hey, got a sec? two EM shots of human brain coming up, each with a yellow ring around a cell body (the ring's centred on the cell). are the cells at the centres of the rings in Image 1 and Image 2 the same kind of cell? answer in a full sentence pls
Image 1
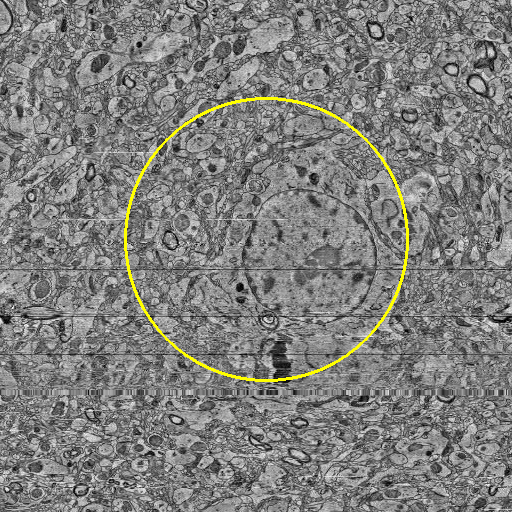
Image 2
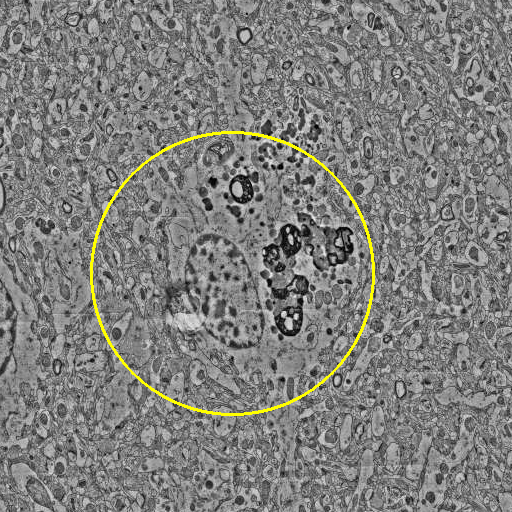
Yes, both are the same kind of cell.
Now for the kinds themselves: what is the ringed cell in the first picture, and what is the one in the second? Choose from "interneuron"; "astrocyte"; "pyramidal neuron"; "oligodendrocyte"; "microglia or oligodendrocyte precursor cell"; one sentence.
Both cells are the same kind, each one being an astrocyte.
